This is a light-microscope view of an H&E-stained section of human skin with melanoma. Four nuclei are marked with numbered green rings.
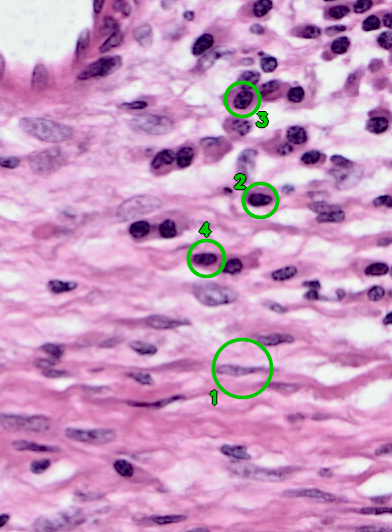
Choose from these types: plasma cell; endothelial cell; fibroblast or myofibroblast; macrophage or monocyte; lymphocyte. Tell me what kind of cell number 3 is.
plasma cell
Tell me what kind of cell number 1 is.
fibroblast or myofibroblast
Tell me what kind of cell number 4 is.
plasma cell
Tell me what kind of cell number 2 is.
plasma cell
